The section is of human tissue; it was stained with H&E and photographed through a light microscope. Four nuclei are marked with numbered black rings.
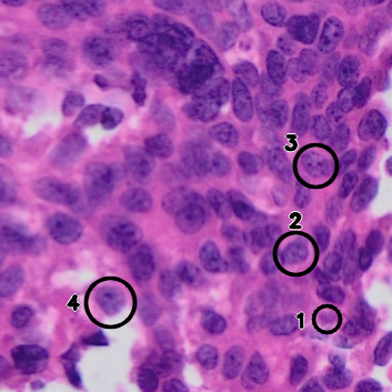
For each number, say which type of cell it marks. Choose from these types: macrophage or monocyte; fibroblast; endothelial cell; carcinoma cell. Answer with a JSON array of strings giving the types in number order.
["carcinoma cell", "macrophage or monocyte", "carcinoma cell", "macrophage or monocyte"]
